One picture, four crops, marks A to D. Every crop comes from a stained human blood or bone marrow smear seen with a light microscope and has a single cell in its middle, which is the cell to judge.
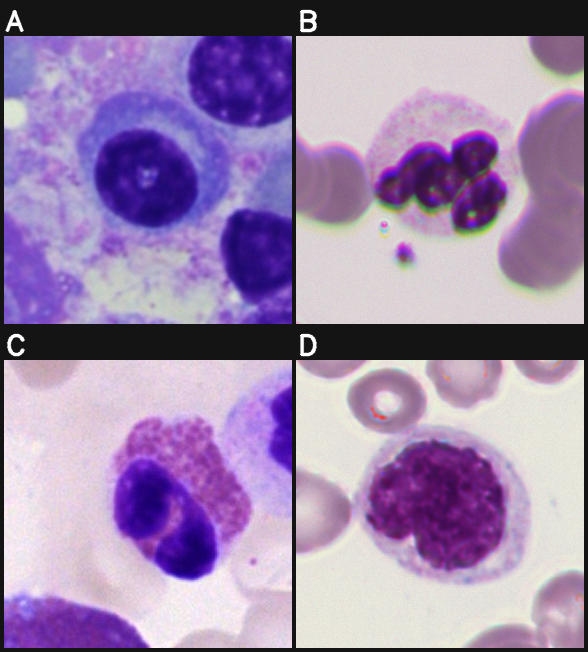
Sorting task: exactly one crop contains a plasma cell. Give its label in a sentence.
The crop bearing a plasma cell is crop A.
